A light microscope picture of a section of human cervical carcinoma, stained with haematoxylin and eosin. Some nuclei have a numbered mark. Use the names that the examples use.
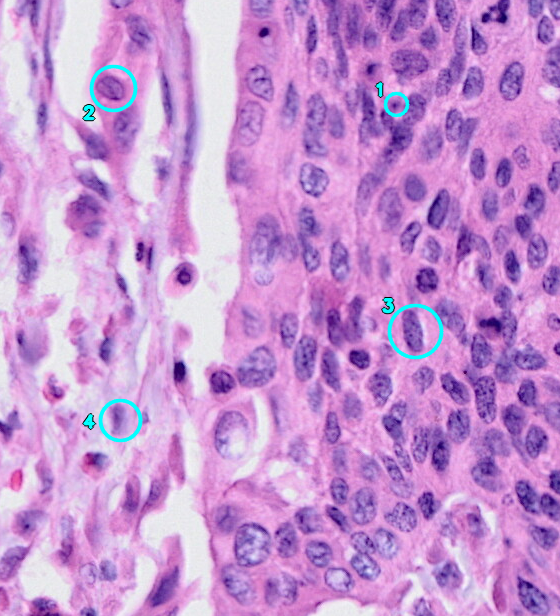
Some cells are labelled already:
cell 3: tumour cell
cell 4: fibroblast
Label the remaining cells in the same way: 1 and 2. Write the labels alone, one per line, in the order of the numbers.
tumour cell
tumour cell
